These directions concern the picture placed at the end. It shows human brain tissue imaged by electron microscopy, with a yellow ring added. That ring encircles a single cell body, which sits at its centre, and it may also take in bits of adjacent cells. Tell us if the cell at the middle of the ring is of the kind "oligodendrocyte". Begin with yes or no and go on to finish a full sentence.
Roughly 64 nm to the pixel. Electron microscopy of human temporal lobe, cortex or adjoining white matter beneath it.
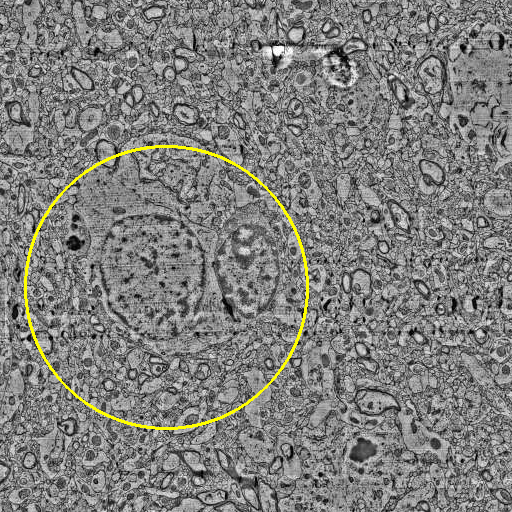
No, the cell sitting at the centre of the yellow ring in the picture belongs to another kind.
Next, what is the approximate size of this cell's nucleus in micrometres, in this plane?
Approximately 8 x 7 micrometres in this plane.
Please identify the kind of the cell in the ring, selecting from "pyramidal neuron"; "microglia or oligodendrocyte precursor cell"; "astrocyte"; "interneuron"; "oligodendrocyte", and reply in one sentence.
Instead, the ring surrounds a microglial cell or oligodendrocyte precursor cell in this picture.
